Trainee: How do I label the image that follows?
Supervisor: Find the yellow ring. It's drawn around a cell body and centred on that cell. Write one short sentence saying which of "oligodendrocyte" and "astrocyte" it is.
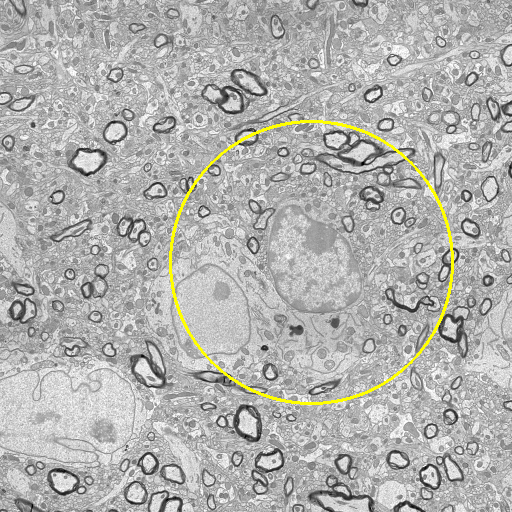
This is the cell body of an oligodendrocyte.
